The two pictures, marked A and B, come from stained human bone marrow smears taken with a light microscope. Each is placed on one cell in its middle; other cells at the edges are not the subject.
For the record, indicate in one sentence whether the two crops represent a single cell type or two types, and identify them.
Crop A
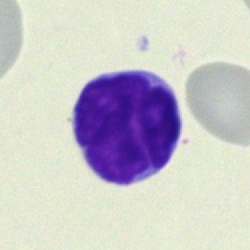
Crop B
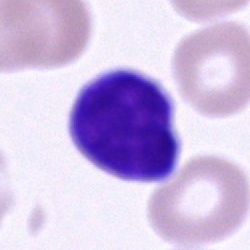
Yes, both crops show a cell each, and these are lymphocytes.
